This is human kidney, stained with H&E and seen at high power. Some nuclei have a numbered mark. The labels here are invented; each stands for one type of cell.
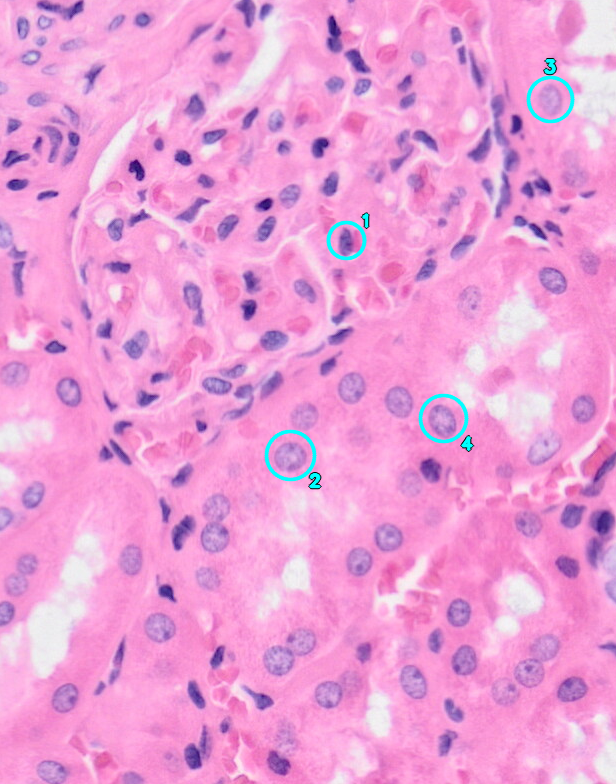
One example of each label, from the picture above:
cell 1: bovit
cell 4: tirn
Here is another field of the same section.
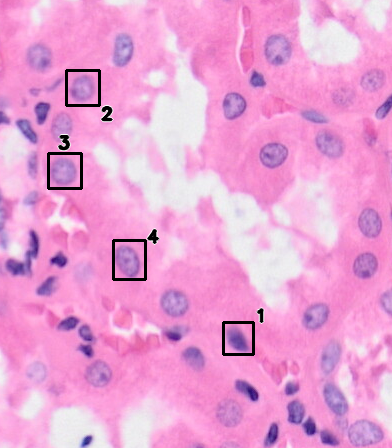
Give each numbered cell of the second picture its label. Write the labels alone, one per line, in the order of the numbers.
bovit
tirn
tirn
tirn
